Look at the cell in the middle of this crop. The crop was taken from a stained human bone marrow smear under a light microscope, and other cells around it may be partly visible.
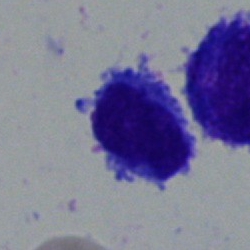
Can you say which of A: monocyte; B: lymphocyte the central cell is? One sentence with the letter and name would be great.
According to option B, which is correct, the cell in the middle is a lymphocyte.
